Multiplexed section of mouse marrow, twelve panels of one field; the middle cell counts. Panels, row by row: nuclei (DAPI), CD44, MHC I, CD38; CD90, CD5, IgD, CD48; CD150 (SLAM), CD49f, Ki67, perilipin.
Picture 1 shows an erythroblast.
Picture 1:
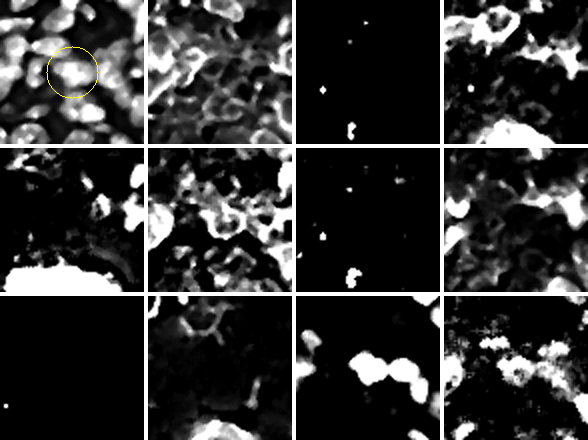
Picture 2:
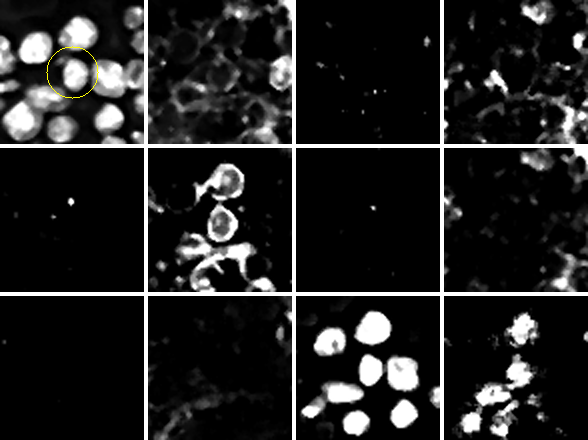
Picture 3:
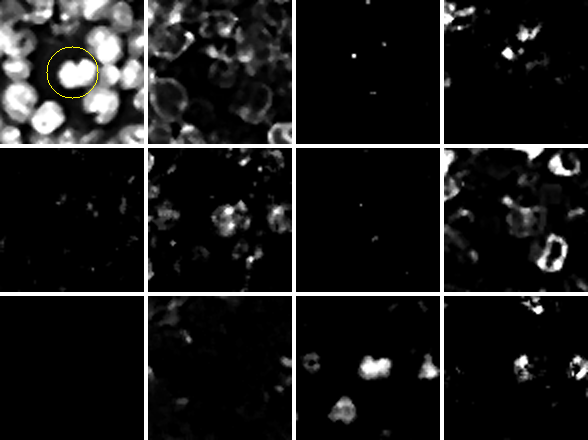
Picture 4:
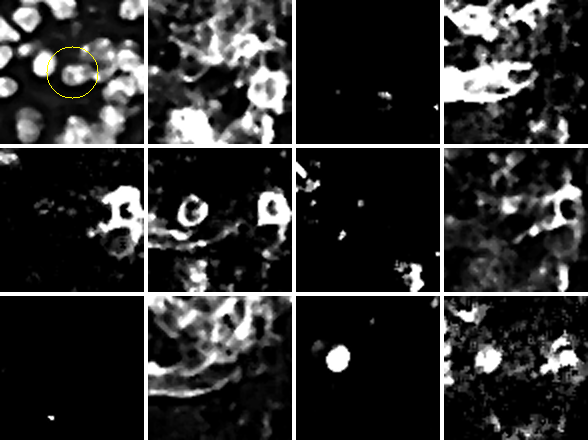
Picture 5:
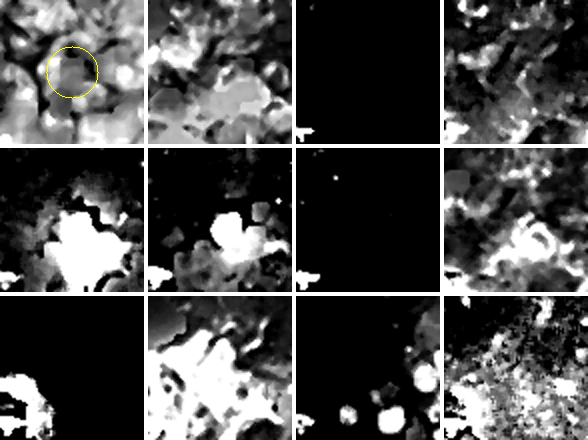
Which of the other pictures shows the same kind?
Picture 2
